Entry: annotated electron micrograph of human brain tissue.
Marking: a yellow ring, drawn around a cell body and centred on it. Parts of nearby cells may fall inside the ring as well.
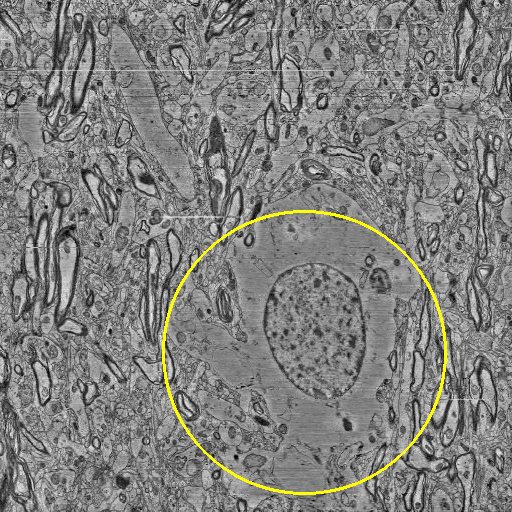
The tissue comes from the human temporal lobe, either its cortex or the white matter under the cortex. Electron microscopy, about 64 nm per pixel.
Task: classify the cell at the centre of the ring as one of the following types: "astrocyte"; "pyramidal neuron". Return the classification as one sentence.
The marked cell is classified as an astrocyte.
